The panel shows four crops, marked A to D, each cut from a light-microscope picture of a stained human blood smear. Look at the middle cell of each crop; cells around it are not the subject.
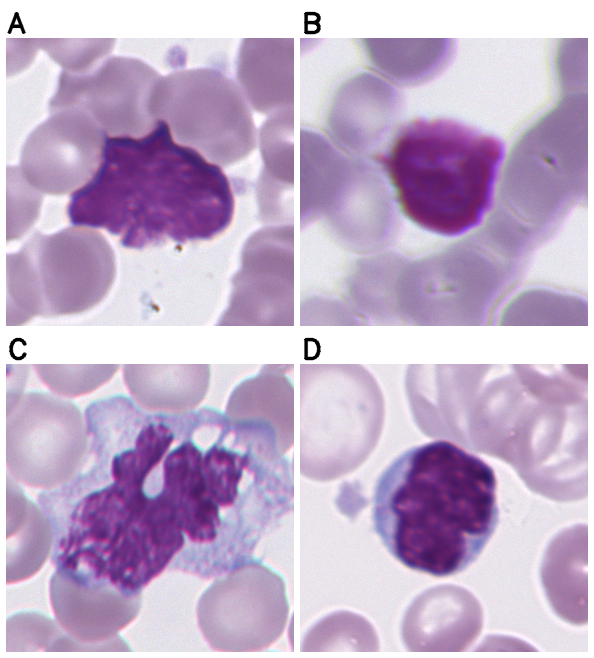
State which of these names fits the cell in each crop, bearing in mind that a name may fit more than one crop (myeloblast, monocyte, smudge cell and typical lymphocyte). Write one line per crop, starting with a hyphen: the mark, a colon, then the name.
- A: smudge cell
- B: smudge cell
- C: monocyte
- D: typical lymphocyte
